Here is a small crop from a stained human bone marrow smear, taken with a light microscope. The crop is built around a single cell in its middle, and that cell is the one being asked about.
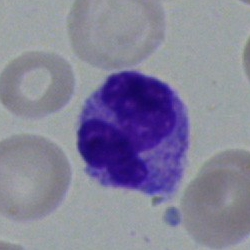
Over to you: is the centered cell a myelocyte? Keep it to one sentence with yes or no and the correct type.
No, the cell at the center of this crop is a monocyte instead of a myelocyte.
